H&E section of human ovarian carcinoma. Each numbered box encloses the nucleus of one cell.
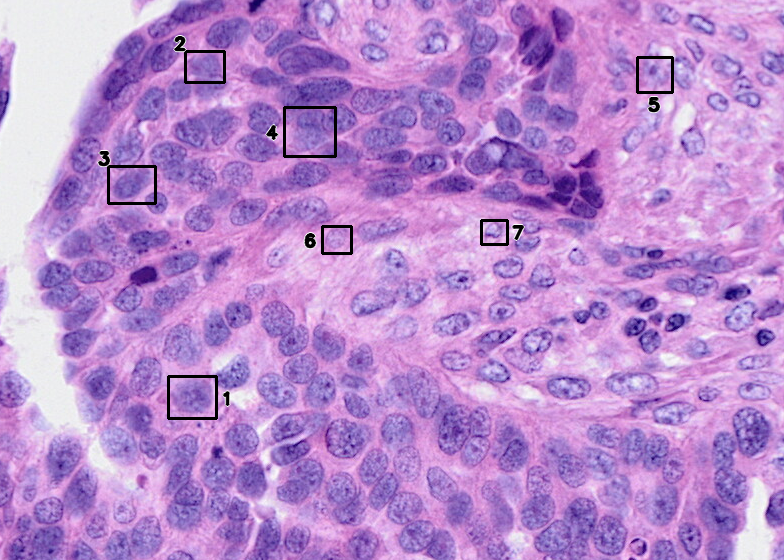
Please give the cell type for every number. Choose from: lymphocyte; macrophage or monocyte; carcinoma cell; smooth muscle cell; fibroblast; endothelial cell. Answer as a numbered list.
1. carcinoma cell
2. carcinoma cell
3. carcinoma cell
4. carcinoma cell
5. fibroblast
6. fibroblast
7. fibroblast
